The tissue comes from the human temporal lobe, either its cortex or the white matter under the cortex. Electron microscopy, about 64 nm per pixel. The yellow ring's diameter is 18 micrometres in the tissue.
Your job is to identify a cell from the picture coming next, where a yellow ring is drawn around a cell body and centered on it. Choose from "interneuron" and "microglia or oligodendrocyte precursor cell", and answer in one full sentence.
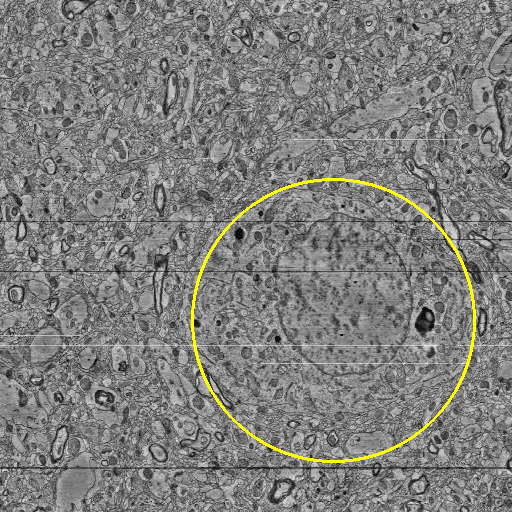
Centered in the yellow ring of the picture is the body of an interneuron.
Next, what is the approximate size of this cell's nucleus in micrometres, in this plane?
The ringed cell's nucleus is about 11 micrometres long and 9 micrometres wide in this plane.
